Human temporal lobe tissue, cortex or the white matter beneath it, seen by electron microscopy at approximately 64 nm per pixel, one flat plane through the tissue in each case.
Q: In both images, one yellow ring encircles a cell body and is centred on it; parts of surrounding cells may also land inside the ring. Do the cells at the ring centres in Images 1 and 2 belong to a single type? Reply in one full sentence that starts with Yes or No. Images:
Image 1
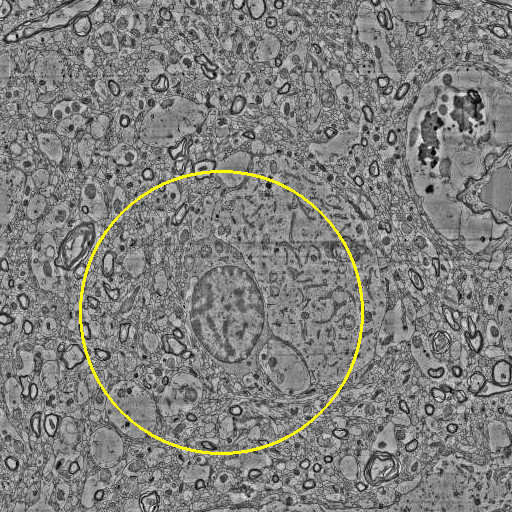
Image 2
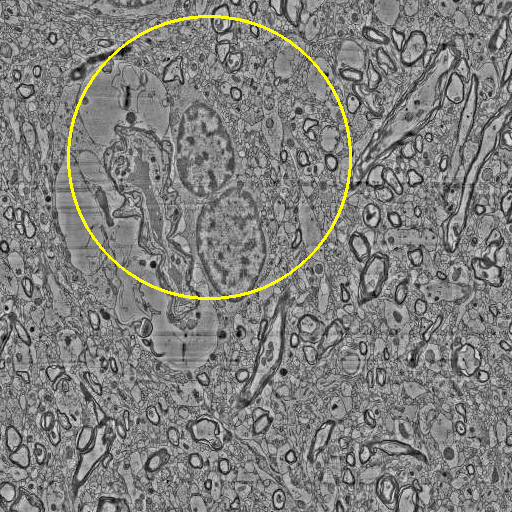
Yes, the cells at the ring centres in Images 1 and 2 are of a single type.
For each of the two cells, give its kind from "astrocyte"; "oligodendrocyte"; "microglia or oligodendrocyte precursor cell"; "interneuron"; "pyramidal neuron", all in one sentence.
Each of the two rings surrounds an oligodendrocyte.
